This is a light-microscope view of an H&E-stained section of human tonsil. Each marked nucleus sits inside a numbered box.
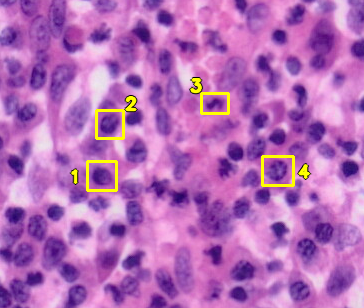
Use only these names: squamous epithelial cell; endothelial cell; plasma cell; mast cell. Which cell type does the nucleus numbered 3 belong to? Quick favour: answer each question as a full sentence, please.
The nucleus labeled 3 belongs to an endothelial cell.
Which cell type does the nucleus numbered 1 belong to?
The cell indicated by marker 1 is a plasma cell in this section.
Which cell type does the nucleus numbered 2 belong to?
In the tissue shown, cell 2 is a plasma cell.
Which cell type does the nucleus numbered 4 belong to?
The nucleus with number 4 is that of a plasma cell.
